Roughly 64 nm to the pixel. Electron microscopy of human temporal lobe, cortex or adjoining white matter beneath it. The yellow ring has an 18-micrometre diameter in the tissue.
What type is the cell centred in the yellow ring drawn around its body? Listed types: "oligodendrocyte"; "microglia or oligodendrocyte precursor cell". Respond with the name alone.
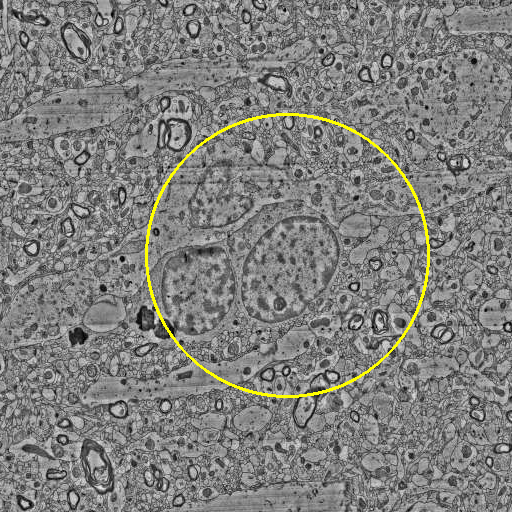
oligodendrocyte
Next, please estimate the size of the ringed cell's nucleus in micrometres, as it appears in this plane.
About 7 by 5 micrometres in this plane.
